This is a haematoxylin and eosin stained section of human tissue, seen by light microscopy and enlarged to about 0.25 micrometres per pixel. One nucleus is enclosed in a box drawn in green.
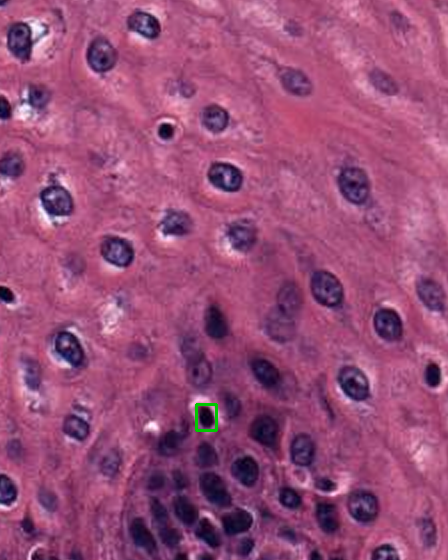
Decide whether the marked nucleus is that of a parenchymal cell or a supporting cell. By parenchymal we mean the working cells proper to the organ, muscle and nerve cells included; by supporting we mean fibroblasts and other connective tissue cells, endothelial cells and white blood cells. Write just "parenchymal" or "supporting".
supporting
